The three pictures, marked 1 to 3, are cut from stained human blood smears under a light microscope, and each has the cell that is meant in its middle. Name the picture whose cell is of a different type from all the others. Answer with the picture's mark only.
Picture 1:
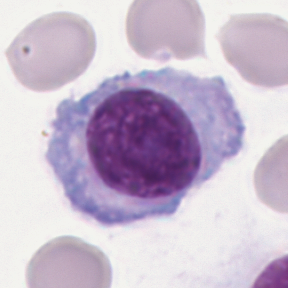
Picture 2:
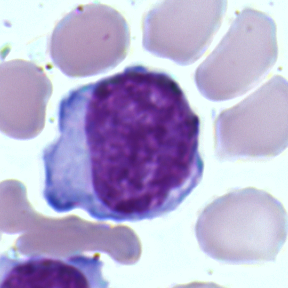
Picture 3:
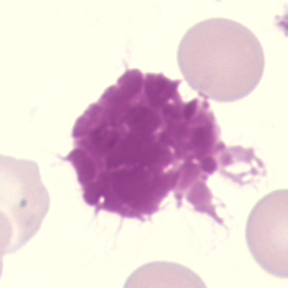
3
